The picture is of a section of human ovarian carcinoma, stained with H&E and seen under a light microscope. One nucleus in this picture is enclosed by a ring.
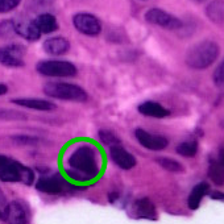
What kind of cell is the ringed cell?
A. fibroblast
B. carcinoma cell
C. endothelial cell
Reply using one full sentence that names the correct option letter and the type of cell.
On this slide, the ringed cell is a carcinoma cell, so option B is right.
